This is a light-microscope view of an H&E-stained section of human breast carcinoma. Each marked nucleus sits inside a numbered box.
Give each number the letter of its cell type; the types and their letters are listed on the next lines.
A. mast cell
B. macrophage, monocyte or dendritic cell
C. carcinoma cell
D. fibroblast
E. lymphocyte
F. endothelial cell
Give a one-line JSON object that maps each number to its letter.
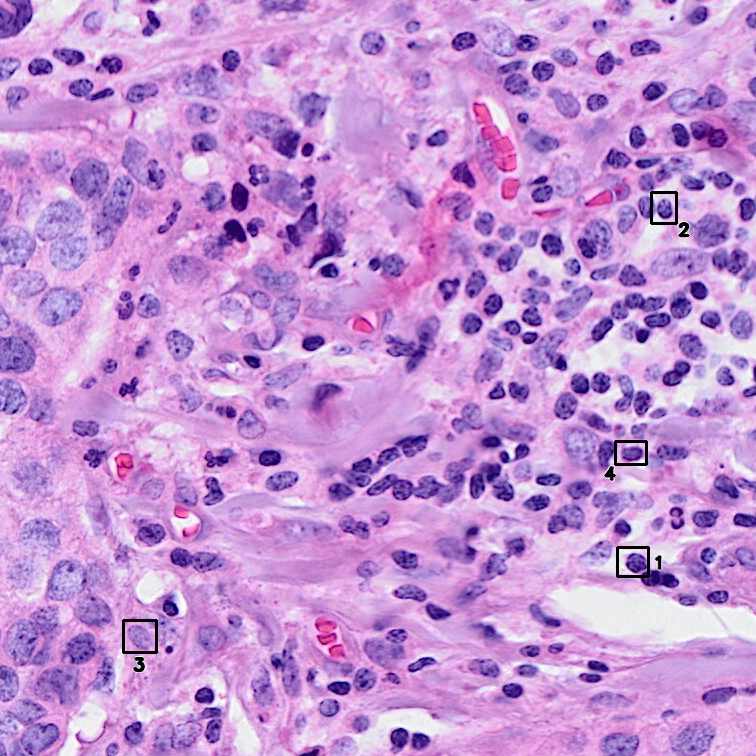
{"1": "E", "2": "E", "3": "B", "4": "E"}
